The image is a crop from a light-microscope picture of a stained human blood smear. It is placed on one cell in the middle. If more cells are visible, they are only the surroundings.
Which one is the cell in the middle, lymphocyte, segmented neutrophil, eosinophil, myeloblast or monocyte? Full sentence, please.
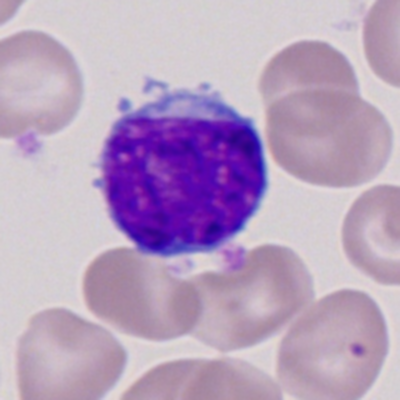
The cell around which this crop is centred is a lymphocyte.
